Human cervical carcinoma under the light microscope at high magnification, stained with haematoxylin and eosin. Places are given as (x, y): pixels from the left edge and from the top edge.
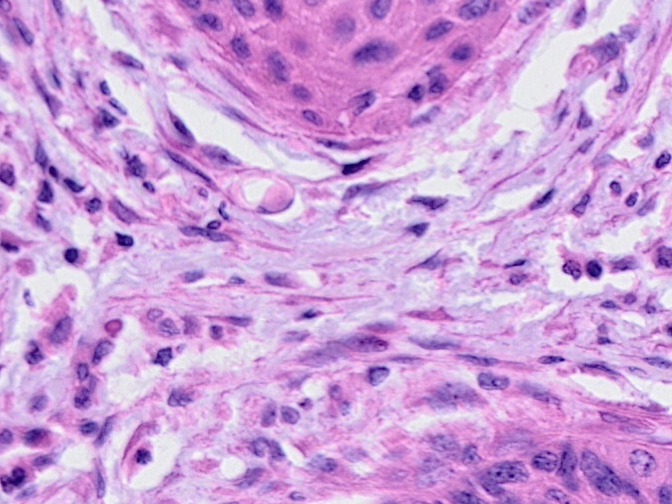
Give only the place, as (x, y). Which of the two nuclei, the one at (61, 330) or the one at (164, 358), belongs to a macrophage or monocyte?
(61, 330)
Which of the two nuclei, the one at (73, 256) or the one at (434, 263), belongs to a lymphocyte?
(73, 256)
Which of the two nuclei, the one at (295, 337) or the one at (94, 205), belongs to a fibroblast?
(295, 337)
